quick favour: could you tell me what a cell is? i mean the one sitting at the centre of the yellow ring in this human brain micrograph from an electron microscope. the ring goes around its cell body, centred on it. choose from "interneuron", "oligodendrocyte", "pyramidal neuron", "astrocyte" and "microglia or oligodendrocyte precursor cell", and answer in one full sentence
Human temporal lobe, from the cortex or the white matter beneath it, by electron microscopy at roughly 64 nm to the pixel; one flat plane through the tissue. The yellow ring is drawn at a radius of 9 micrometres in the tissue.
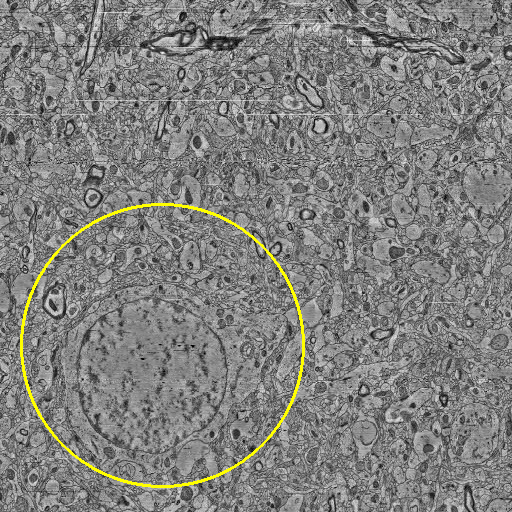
That's an interneuron, the cell sitting at the centre of the yellow ring.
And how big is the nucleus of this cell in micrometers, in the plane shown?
About 10 micrometers across, in this plane.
